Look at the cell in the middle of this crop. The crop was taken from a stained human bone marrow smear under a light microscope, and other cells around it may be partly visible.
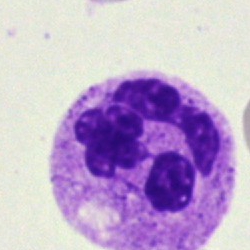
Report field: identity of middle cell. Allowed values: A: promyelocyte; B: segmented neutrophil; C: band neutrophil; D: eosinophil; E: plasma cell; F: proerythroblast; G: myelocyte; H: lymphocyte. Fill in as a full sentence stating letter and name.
Of the choices given, option B is right, as the central cell is a segmented neutrophil.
